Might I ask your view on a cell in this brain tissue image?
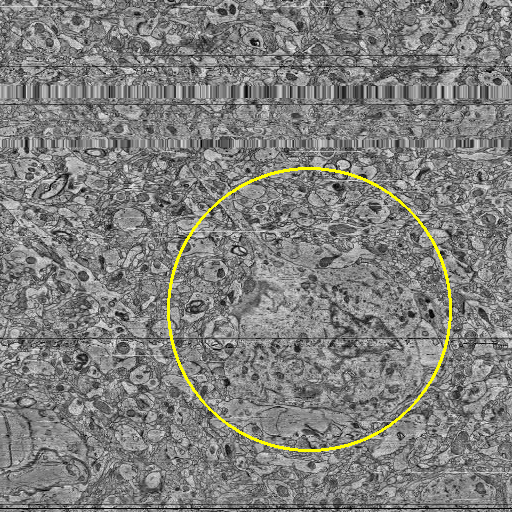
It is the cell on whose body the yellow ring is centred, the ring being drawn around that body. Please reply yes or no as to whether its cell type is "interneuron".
yes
